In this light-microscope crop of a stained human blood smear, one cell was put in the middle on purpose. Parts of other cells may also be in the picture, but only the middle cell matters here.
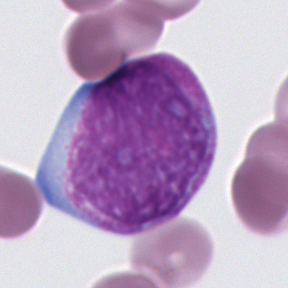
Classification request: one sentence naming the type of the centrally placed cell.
The cell centred in this crop is categorized as an atypical promyelocyte.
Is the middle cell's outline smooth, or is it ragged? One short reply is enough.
The border of this cell runs smooth and free of any projections.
